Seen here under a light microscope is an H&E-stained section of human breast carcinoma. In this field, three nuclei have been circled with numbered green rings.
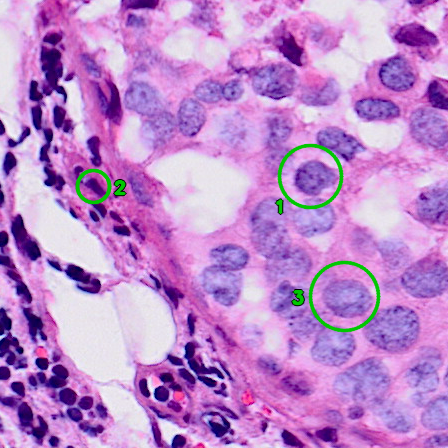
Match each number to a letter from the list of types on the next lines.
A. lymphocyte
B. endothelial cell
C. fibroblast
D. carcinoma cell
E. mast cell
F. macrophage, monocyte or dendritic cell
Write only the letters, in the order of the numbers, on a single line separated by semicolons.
D; B; D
